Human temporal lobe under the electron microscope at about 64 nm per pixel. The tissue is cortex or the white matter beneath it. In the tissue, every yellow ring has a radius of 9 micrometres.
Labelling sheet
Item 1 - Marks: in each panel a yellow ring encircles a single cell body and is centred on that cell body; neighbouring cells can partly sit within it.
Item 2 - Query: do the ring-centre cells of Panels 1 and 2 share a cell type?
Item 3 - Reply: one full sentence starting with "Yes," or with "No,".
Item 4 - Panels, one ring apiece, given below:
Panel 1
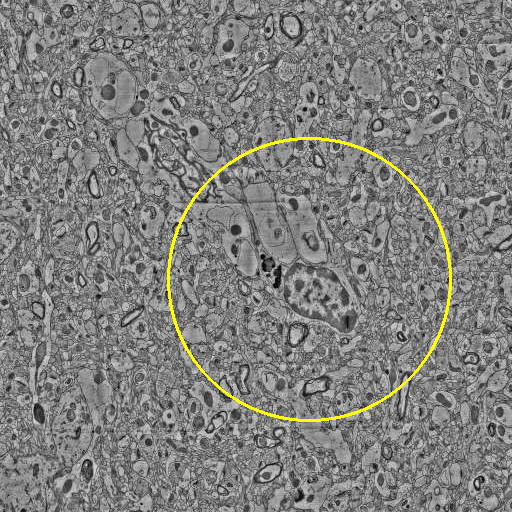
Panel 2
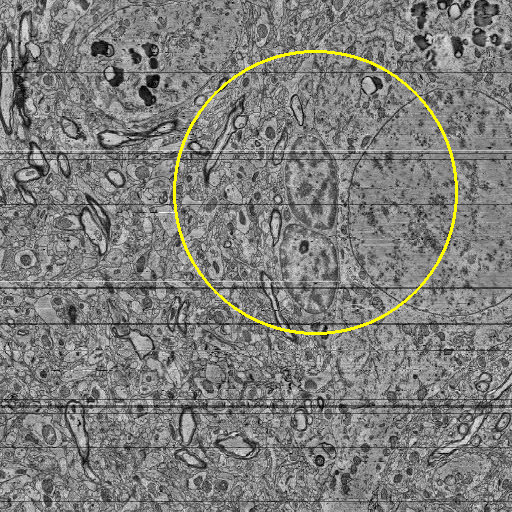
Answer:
No, Panel 1 and Panel 2 show two cell types at the centres of their rings.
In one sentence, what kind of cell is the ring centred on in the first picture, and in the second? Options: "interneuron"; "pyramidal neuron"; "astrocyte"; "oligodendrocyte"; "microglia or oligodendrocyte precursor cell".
The cell at the centre of the second ring is an oligodendrocyte; the first ring's cell is a microglial cell or oligodendrocyte precursor cell.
